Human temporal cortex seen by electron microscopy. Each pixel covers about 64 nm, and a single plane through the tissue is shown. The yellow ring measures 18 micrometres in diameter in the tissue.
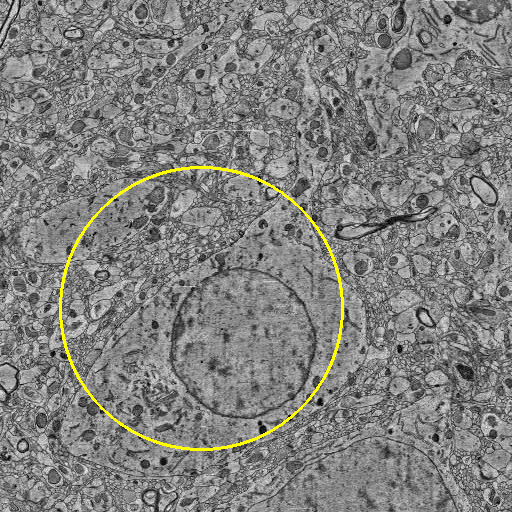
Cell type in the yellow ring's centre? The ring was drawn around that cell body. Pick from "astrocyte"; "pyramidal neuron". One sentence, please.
The ringed cell body is that of a pyramidal neuron.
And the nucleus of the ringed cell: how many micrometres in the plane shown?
In this plane the nucleus measures roughly 10 micrometres across.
